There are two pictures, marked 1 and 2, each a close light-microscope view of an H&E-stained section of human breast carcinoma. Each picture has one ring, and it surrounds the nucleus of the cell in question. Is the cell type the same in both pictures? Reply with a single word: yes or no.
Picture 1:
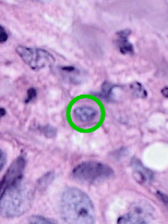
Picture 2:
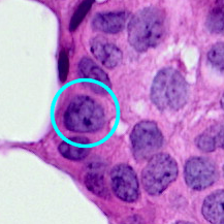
no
